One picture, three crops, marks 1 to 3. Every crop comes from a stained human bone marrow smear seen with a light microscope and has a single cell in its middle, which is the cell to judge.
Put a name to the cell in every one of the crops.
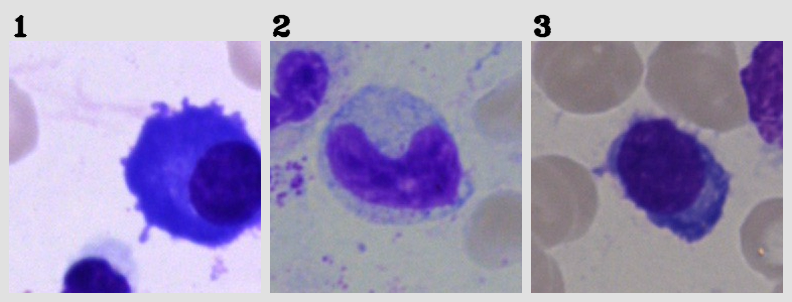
1: plasma cell
2: band neutrophil
3: plasma cell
